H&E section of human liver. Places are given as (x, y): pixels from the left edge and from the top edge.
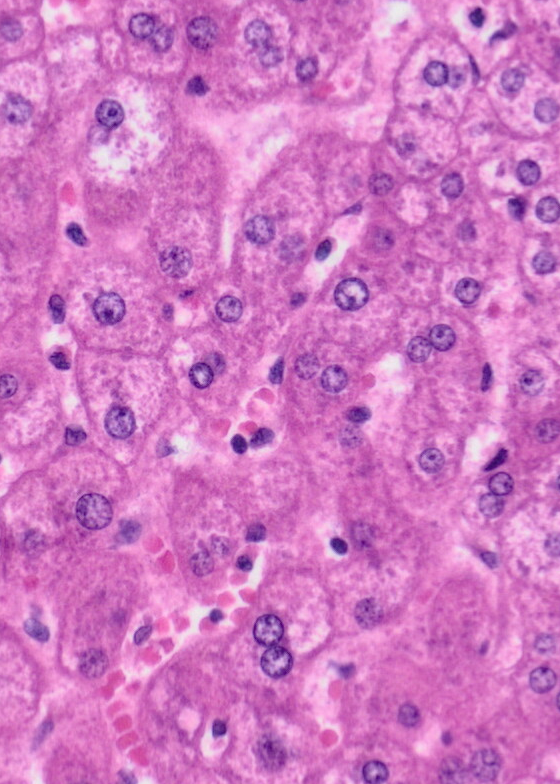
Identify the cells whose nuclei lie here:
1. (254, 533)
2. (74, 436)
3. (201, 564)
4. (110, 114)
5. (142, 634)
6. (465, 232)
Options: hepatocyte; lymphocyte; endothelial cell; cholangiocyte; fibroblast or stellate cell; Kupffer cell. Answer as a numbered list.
1. endothelial cell
2. endothelial cell
3. hepatocyte
4. hepatocyte
5. Kupffer cell
6. hepatocyte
